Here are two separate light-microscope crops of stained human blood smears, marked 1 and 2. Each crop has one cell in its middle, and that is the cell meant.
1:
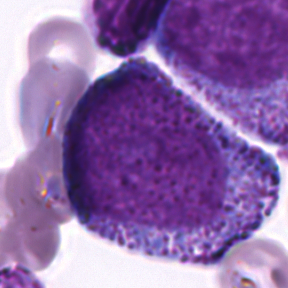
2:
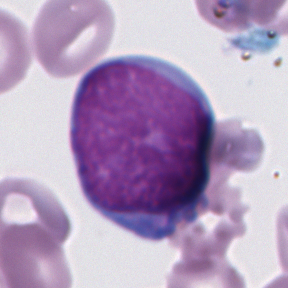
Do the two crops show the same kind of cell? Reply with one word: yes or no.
no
